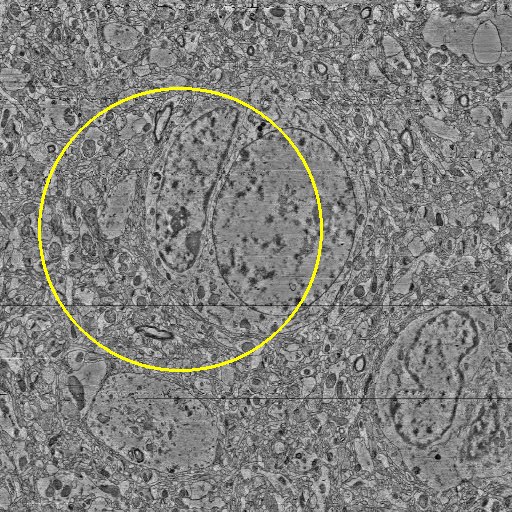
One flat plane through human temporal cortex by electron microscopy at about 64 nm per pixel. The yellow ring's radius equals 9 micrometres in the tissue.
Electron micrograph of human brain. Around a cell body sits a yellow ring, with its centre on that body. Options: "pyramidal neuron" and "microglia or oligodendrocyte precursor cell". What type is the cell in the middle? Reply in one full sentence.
The cell sitting at the centre of the yellow ring is a microglial cell or oligodendrocyte precursor cell.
